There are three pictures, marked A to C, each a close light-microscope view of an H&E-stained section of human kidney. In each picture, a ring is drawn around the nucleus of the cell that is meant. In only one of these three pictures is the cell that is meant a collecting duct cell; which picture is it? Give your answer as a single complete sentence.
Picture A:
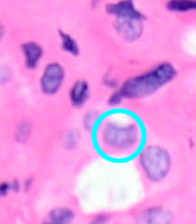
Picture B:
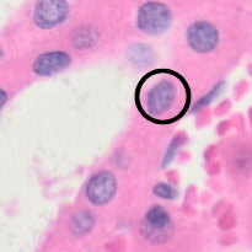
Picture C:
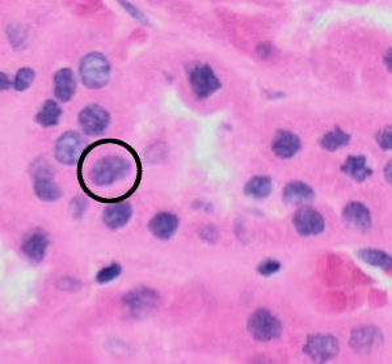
The cell in picture A is the collecting duct cell.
